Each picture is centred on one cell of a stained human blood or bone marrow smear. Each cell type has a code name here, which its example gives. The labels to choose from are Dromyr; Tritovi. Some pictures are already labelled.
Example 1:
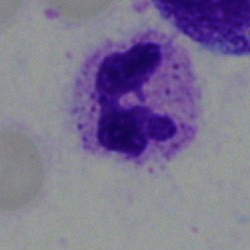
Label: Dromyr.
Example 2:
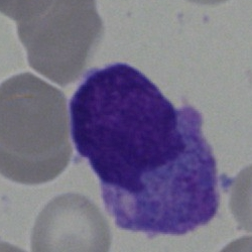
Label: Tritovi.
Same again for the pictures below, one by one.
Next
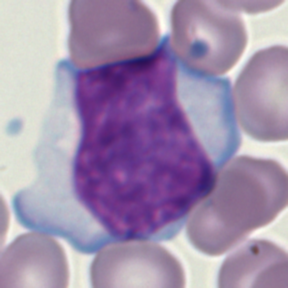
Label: Tritovi.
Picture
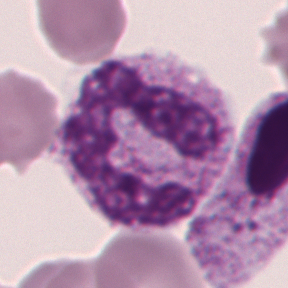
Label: Dromyr.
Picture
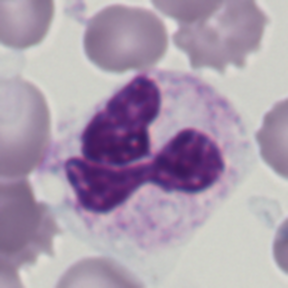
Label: Dromyr.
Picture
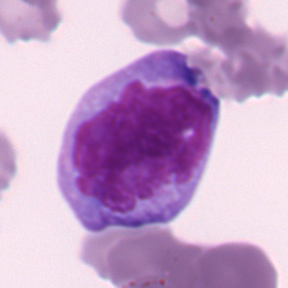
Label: Tritovi.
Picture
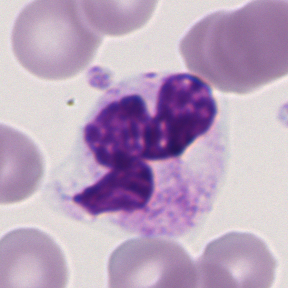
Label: Dromyr.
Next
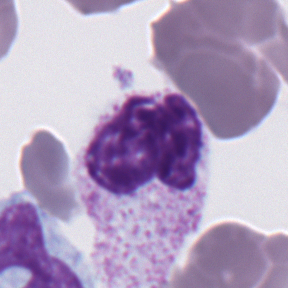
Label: Dromyr.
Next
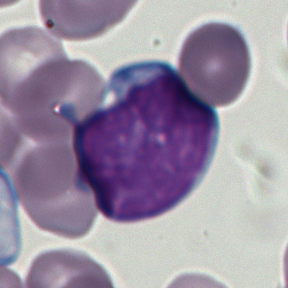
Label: Tritovi.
